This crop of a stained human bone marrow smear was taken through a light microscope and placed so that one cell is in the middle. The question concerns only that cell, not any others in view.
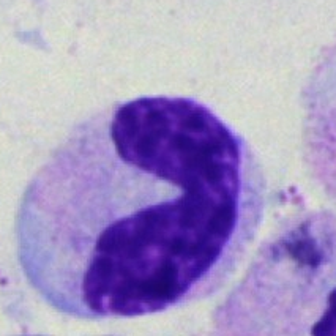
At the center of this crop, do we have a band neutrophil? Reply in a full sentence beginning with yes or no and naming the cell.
Yes, the cell at the middle of the frame is a band neutrophil.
